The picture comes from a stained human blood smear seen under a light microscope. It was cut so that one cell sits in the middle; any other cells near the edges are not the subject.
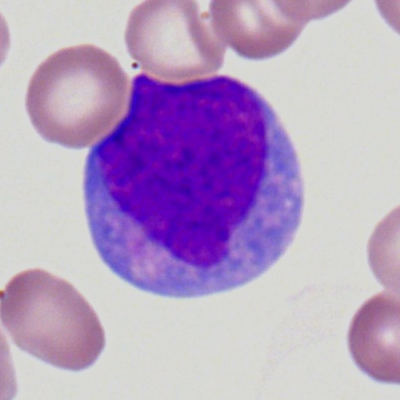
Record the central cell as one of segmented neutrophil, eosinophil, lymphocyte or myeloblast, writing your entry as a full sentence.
In the center of this field lies a myeloblast.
